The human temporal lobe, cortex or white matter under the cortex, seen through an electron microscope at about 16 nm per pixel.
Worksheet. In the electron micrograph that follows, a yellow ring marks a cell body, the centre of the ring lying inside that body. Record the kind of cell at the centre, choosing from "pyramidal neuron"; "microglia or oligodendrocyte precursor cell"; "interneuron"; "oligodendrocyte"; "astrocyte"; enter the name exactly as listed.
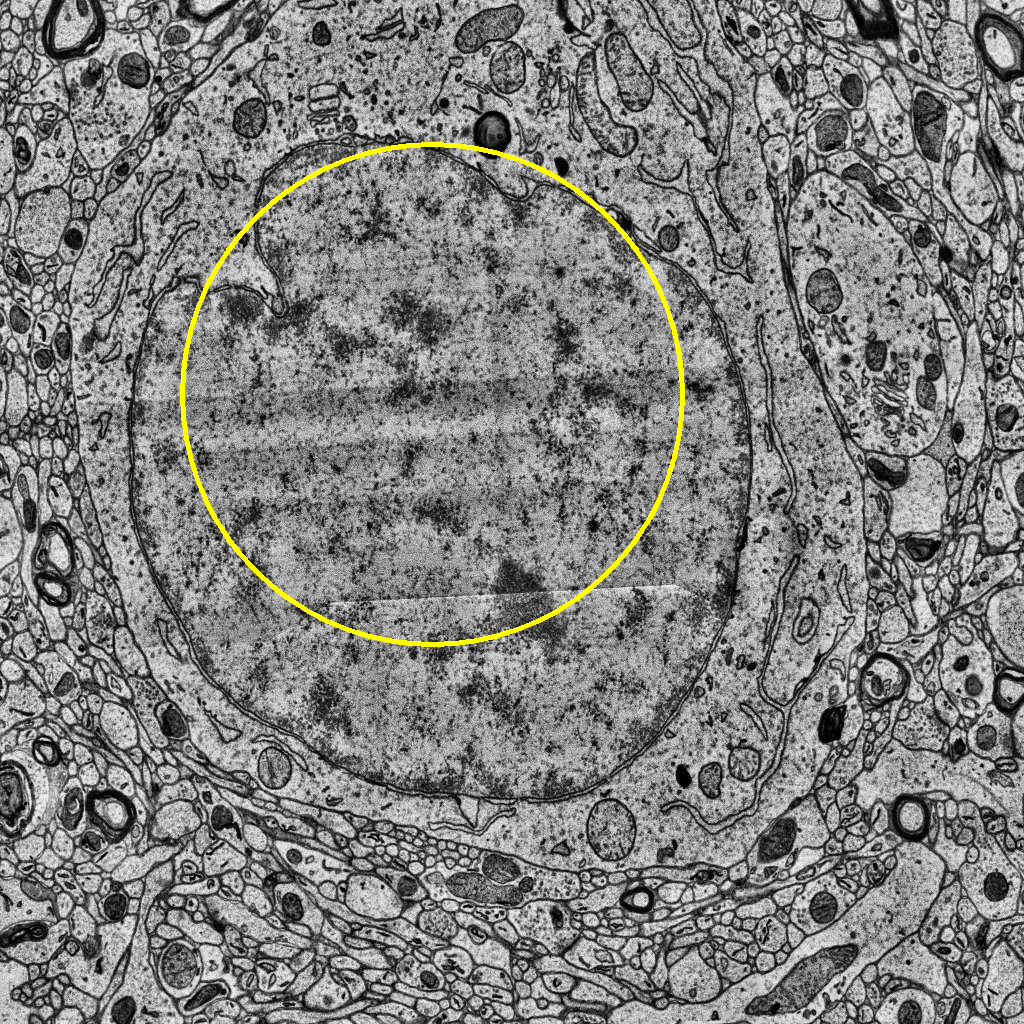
interneuron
